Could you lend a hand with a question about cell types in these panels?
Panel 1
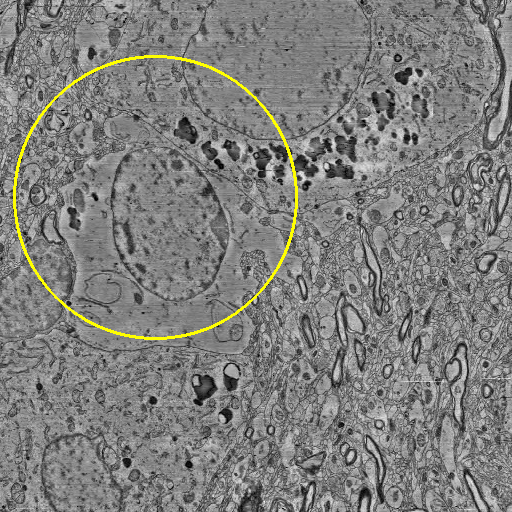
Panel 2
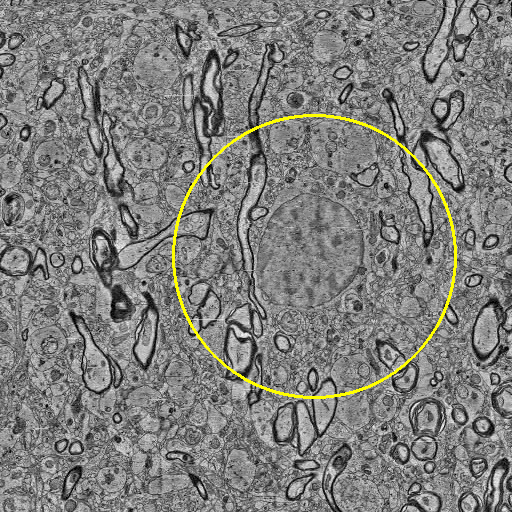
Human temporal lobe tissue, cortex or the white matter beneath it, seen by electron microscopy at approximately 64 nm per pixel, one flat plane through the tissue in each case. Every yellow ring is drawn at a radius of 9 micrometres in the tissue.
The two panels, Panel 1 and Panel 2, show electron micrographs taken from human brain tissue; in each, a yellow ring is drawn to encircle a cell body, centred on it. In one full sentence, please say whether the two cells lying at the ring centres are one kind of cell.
No, the cells at the ring centres in the two panels are two kinds of cell.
